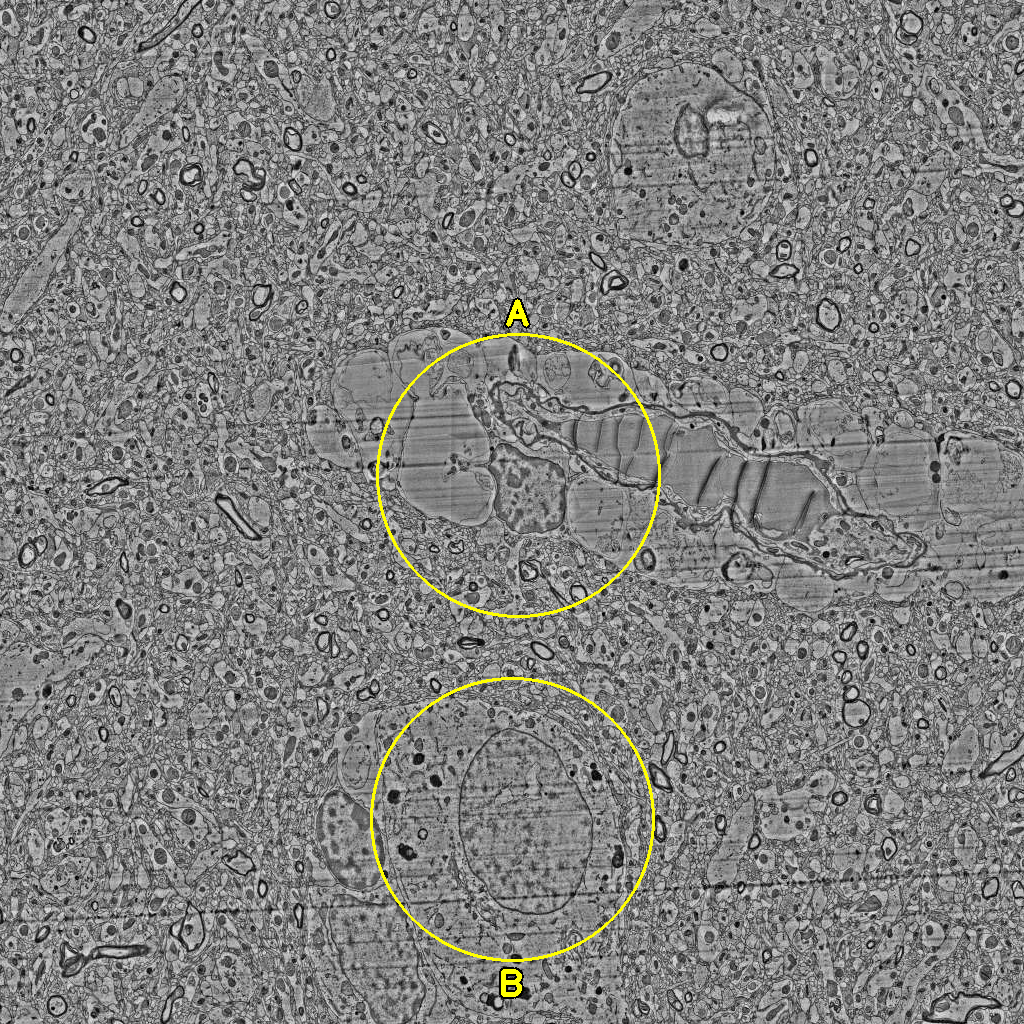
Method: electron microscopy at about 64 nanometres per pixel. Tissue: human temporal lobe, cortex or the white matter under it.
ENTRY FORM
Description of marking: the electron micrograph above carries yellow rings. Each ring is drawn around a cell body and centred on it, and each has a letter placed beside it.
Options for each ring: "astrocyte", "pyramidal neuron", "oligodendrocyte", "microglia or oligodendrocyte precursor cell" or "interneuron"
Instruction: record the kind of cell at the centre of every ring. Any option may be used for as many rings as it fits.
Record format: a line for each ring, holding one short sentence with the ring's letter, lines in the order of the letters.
Ring A surrounds the cell body of a microglial cell or oligodendrocyte precursor cell.
Ring B surrounds the cell body of a pyramidal neuron.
